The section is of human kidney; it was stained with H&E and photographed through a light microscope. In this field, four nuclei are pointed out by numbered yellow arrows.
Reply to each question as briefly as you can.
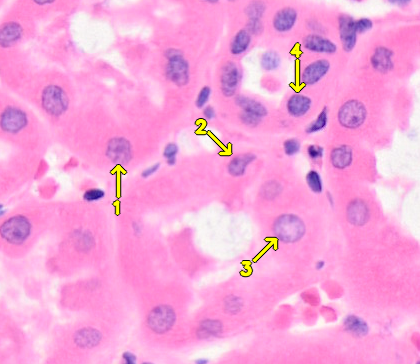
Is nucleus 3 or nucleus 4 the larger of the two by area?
3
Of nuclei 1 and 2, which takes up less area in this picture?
2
